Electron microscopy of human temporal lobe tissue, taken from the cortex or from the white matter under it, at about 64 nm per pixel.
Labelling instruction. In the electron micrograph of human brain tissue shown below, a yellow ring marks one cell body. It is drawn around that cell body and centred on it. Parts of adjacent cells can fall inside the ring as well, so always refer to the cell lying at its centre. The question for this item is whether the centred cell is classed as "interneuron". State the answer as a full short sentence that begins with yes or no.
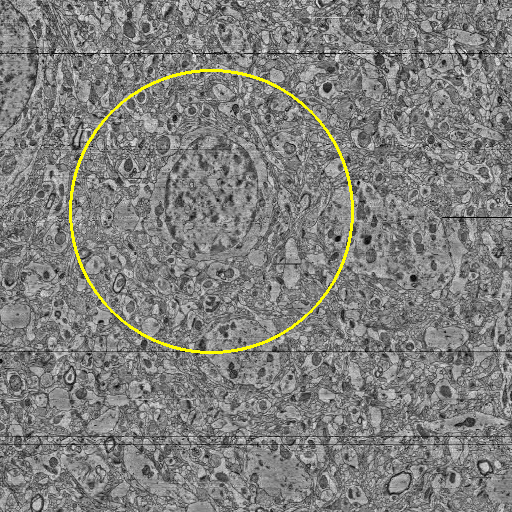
Yes, the centred cell is of that class.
